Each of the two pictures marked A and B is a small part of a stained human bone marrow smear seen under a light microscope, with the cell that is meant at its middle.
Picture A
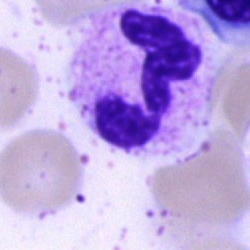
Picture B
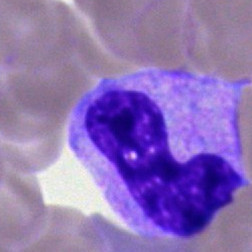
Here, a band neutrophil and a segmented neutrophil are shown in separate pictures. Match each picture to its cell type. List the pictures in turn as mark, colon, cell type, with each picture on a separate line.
A: segmented neutrophil
B: band neutrophil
